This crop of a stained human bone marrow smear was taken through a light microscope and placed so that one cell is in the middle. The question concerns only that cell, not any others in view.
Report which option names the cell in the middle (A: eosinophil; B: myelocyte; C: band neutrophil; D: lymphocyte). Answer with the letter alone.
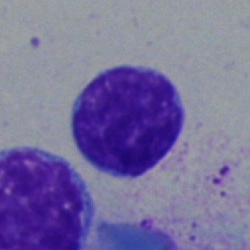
D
